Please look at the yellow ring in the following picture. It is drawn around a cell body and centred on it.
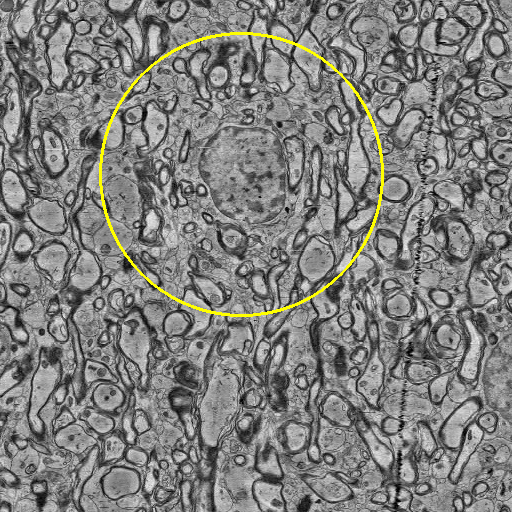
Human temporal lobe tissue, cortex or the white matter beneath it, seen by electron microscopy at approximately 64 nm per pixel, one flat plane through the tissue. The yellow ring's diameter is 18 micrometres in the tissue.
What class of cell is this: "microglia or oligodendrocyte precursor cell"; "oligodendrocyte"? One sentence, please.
The ring surrounds the cell body of a microglial cell or oligodendrocyte precursor cell.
